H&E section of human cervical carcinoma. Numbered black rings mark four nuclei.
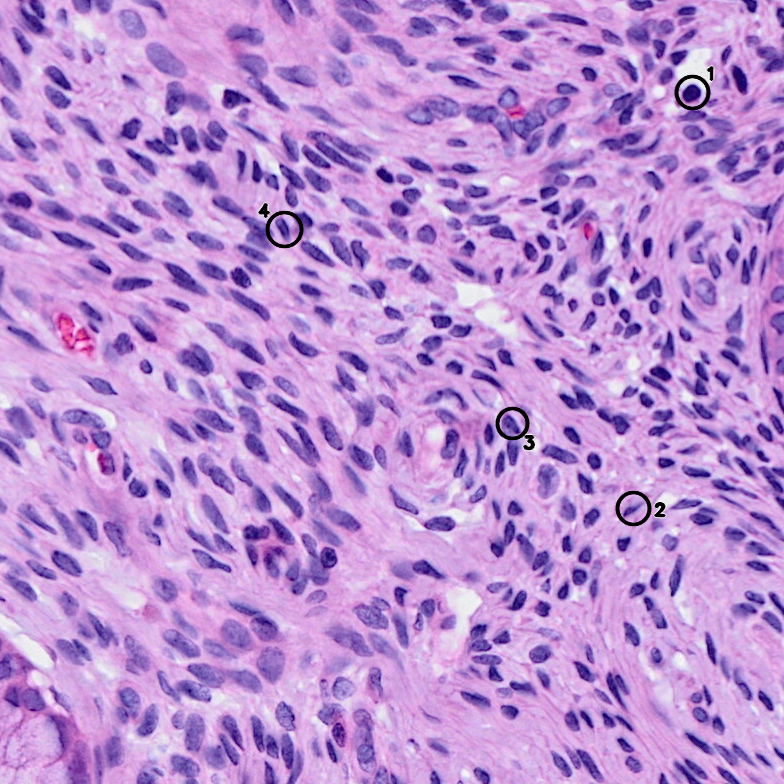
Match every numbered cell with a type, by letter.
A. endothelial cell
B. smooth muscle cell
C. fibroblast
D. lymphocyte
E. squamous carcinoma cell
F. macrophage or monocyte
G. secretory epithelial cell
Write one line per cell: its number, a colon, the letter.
1: D
2: C
3: C
4: C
